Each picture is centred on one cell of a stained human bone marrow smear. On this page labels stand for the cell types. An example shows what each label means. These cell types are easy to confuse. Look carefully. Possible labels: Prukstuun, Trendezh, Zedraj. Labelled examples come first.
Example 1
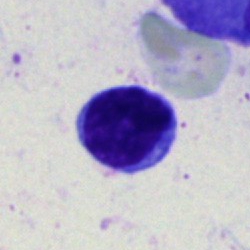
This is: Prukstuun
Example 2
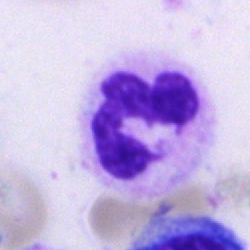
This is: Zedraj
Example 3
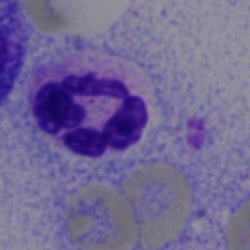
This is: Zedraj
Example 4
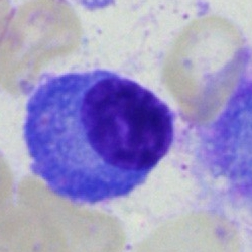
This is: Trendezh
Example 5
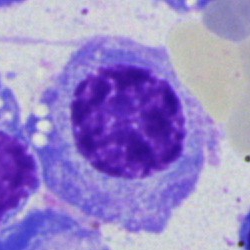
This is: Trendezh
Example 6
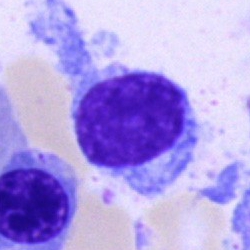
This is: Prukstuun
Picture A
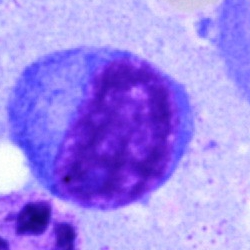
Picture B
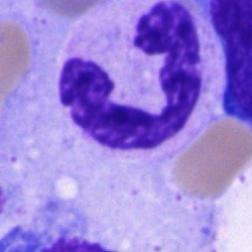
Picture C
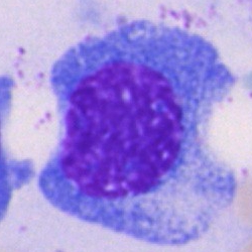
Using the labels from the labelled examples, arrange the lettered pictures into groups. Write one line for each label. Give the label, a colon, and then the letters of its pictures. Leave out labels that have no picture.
Trendezh: A, C
Zedraj: B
